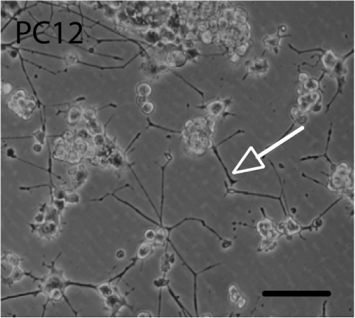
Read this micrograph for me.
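Neuronal-like cultured cells are seen as small rounded, phase-bright cell bodies, some single and some in clumps. Long, thin, branching processes run out from the cell bodies and cross one another, forming an interlaced axon-like network across the dish.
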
